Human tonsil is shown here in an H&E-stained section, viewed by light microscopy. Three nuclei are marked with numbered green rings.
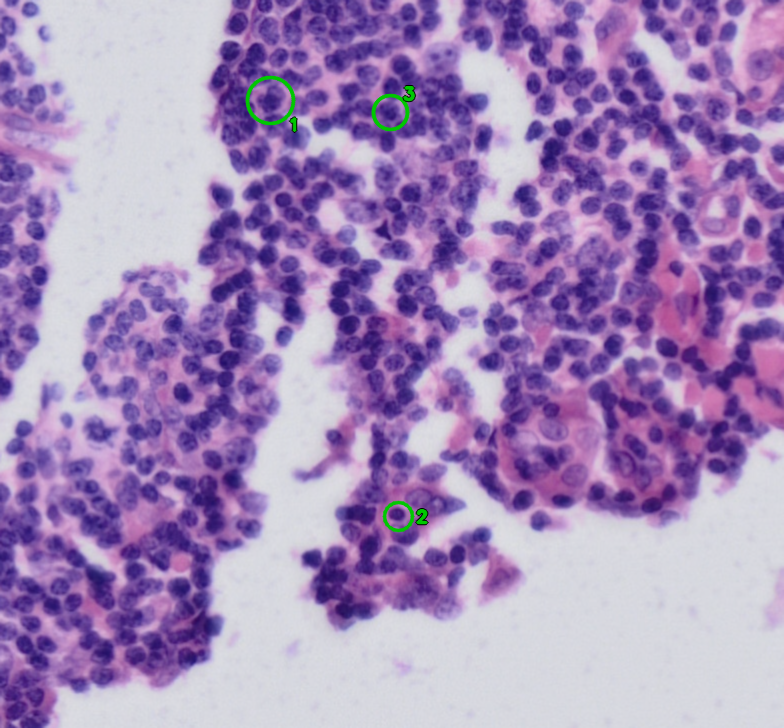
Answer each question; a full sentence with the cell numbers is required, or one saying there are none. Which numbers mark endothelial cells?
Only the cell marked 2 is an endothelial cell.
